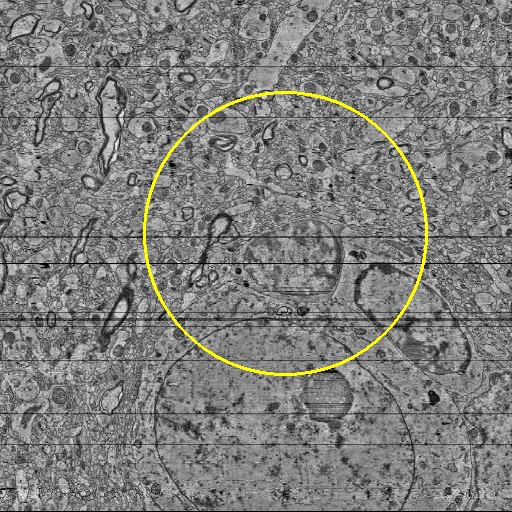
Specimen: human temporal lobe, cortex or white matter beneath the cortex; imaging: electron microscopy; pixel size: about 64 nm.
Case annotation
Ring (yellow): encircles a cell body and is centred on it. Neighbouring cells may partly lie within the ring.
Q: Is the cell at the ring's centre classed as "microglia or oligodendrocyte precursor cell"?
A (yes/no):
no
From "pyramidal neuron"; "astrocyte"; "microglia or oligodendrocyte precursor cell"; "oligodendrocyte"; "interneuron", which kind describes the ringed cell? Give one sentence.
It is an oligodendrocyte at the centre of the ring.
